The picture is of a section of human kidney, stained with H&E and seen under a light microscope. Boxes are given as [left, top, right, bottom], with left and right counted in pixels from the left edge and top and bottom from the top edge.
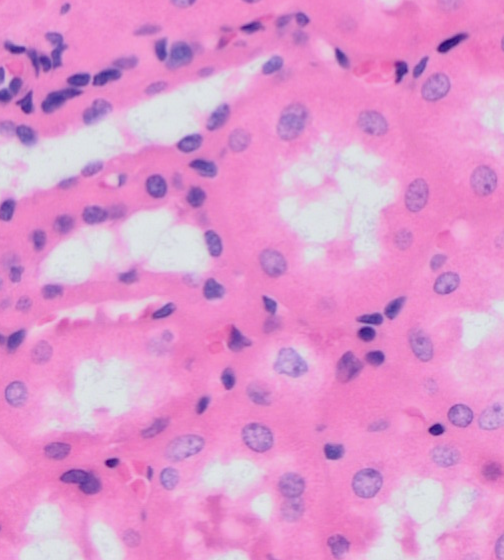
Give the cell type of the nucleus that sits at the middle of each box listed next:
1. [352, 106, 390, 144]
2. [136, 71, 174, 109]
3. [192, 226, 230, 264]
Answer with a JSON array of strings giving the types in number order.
["proximal tubule cell", "loop of Henle or distal tubule cell", "loop of Henle or distal tubule cell"]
